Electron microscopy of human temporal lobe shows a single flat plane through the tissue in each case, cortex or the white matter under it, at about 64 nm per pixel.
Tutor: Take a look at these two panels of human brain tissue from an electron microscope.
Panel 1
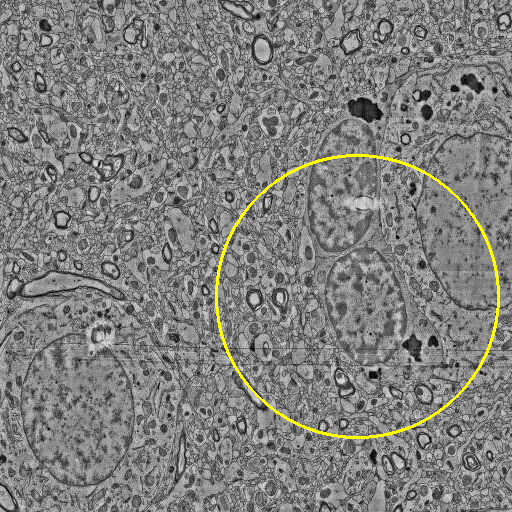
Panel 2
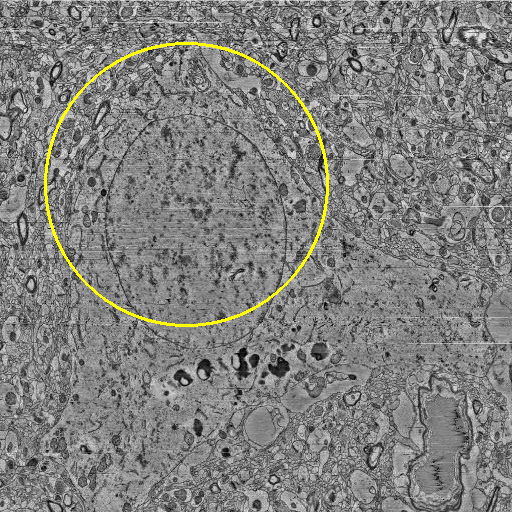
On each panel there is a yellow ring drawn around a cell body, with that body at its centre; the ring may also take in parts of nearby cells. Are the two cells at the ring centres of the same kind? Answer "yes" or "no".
no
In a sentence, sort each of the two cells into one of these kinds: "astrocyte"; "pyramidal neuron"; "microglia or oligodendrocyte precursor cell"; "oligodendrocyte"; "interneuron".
The first of the two cells is an oligodendrocyte, and the second is a pyramidal neuron.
